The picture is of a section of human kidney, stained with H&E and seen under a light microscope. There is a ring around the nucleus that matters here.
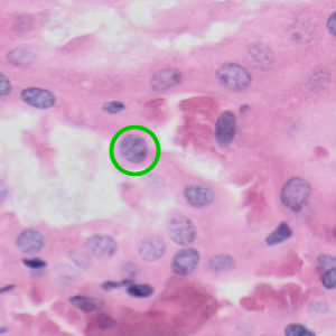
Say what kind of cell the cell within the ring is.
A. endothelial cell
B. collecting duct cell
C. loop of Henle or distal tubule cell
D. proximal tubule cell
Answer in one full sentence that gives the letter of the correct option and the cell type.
The correct option, C, describes the cell within the ring as a loop of Henle or distal tubule cell.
